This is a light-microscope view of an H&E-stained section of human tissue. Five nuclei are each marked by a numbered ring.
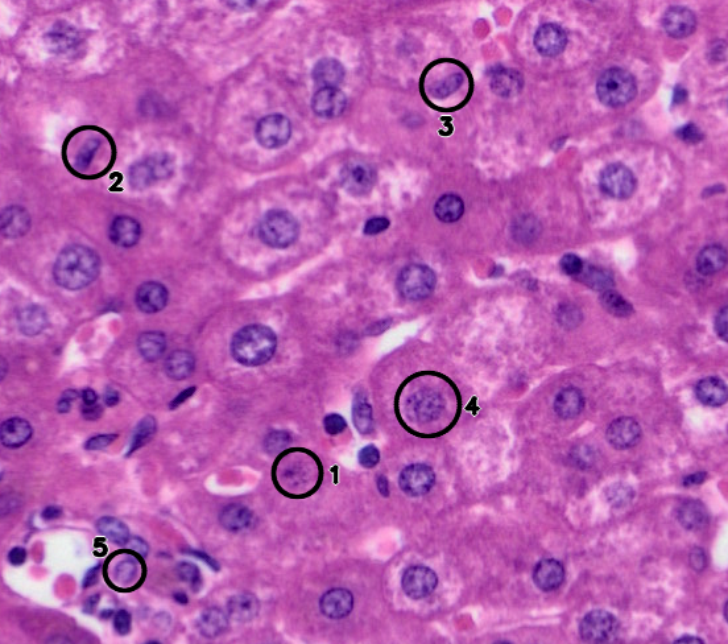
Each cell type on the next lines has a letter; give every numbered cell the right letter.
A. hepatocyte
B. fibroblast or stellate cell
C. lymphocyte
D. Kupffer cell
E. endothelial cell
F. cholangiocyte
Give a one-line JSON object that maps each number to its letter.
{"1": "A", "2": "B", "3": "D", "4": "A", "5": "F"}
